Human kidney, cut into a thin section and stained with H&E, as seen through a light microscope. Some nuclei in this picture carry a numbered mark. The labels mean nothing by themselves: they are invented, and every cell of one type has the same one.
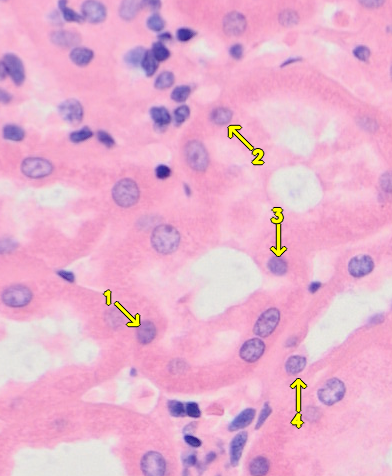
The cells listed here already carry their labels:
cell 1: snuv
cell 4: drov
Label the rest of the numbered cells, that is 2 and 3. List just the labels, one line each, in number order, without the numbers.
snuv
snuv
